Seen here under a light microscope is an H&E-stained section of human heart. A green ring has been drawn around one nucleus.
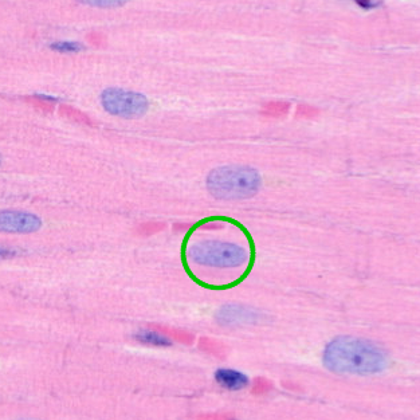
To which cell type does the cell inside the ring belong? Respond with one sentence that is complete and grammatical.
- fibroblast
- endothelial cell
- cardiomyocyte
It is as a cardiomyocyte that the cell inside the ring is classified.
